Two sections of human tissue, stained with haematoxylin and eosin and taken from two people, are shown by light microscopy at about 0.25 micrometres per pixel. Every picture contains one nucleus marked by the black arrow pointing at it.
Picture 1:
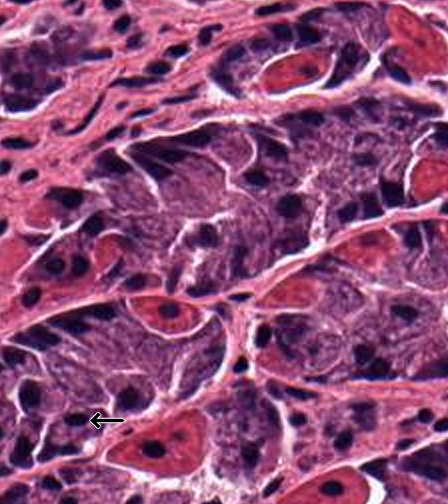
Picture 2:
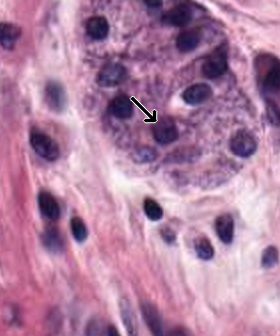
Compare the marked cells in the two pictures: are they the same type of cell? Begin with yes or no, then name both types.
Yes, both are chief cells.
